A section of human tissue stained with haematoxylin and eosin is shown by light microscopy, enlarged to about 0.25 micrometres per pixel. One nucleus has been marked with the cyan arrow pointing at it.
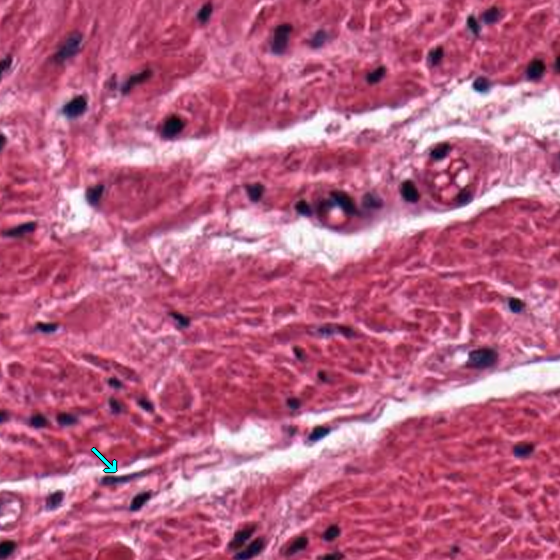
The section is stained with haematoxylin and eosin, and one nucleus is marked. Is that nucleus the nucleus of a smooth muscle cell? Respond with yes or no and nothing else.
no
